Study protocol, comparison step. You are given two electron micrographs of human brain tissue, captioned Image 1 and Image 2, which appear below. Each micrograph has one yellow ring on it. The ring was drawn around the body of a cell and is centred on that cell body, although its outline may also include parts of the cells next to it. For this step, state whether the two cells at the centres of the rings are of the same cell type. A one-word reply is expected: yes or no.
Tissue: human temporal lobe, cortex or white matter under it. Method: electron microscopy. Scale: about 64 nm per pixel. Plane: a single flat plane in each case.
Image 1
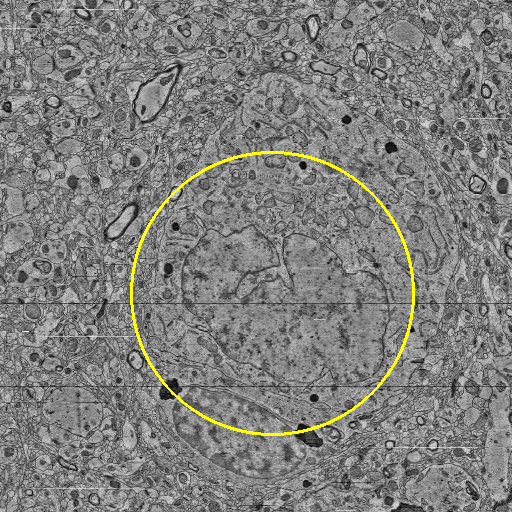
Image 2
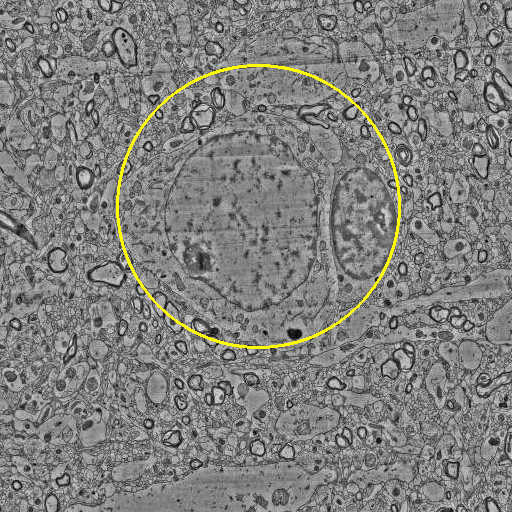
yes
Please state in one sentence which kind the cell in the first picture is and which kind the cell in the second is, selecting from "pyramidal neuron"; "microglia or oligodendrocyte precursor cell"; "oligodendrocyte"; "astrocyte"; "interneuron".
The second cell is an interneuron, just as the first is.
